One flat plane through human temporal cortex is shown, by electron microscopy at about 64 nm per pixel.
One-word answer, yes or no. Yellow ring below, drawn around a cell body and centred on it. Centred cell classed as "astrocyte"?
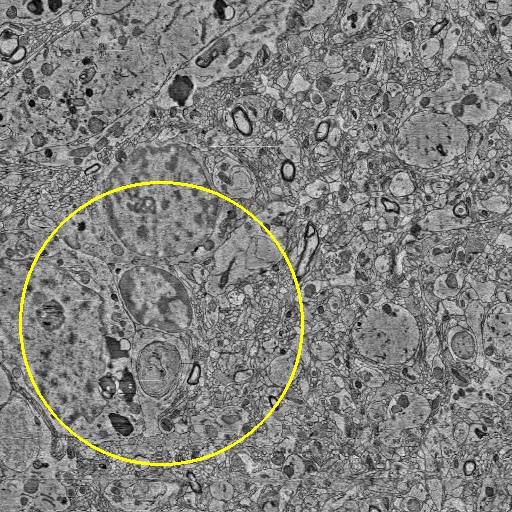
no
